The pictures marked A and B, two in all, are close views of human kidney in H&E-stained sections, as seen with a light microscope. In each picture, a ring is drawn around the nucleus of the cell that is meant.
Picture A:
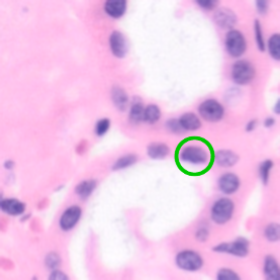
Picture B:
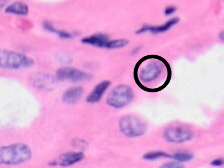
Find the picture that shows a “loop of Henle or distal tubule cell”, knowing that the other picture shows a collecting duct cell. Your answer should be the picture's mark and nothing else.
B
